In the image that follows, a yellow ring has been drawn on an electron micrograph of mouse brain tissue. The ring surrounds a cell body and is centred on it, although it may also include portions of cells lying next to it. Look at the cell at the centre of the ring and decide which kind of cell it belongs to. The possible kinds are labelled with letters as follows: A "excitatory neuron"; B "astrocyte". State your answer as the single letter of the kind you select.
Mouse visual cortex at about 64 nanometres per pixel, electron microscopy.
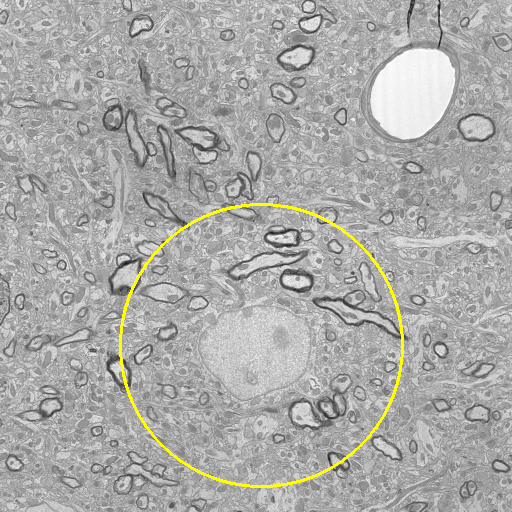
B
